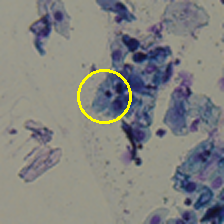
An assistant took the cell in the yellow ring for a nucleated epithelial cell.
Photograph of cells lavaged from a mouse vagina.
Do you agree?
I agree, it is a nucleated epithelial cell.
